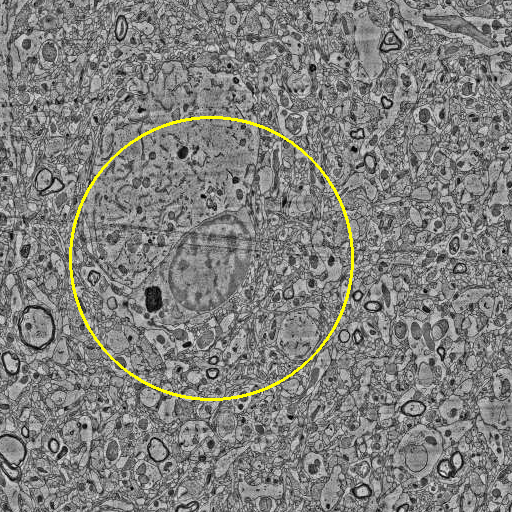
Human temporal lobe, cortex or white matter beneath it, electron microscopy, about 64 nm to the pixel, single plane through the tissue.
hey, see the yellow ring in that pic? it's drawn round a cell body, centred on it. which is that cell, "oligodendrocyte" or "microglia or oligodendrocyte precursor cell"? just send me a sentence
The cell in the ring is an oligodendrocyte.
